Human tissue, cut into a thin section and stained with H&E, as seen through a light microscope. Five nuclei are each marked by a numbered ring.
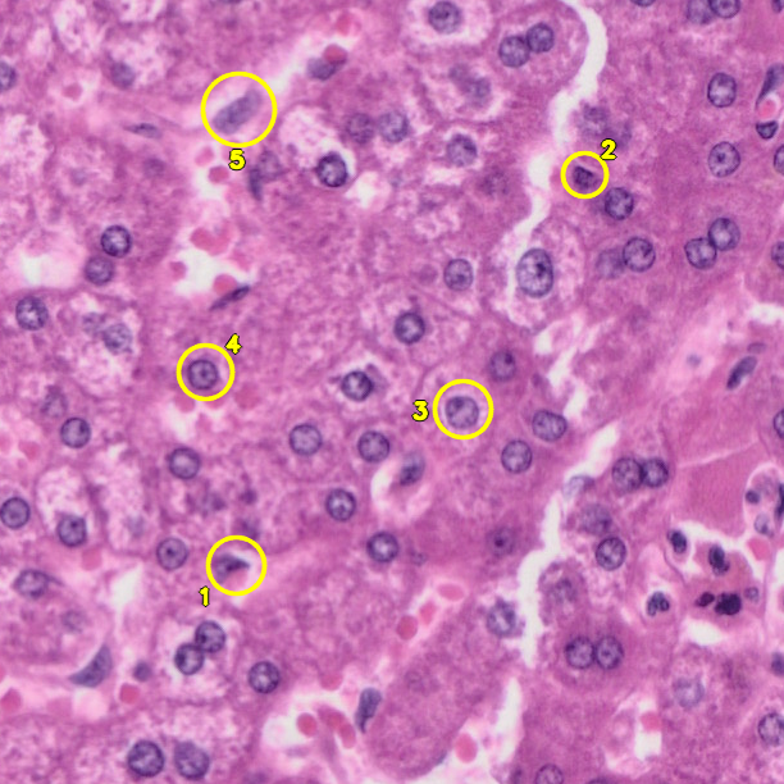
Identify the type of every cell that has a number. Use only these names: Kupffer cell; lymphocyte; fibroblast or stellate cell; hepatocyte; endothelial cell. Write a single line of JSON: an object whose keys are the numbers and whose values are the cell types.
{"1": "endothelial cell", "2": "fibroblast or stellate cell", "3": "hepatocyte", "4": "hepatocyte", "5": "Kupffer cell"}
